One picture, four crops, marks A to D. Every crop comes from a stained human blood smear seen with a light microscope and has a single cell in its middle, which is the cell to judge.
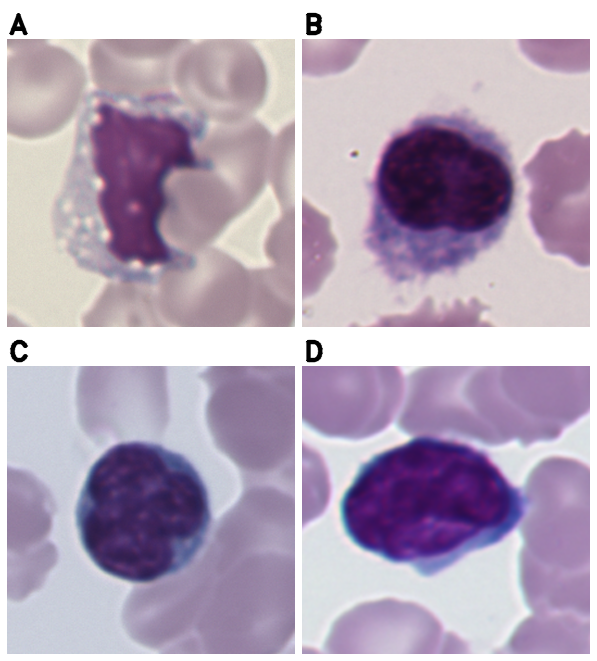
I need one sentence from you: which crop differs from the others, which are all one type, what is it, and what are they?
The different crop is crop B, a hairy cell; all the others show typical lymphocytes.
